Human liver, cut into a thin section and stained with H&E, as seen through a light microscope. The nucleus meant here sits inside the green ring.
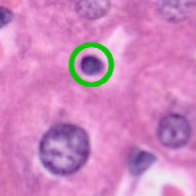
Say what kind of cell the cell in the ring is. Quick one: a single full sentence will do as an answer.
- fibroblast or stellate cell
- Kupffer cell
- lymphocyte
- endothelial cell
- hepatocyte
Assigned to a cell type, the cell in the ring is a lymphocyte.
